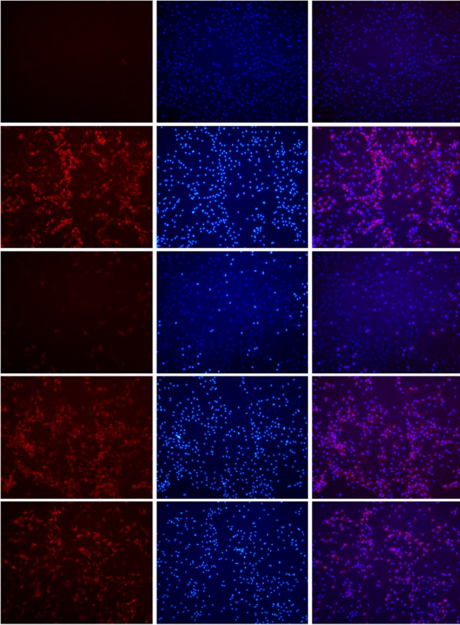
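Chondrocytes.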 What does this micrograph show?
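In the top row the red is barely visible. In most other rows the red is strong and granular, lying around the nuclei in the cell bodies. In the overlays, red around blue nuclei gives a purple-magenta tone.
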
